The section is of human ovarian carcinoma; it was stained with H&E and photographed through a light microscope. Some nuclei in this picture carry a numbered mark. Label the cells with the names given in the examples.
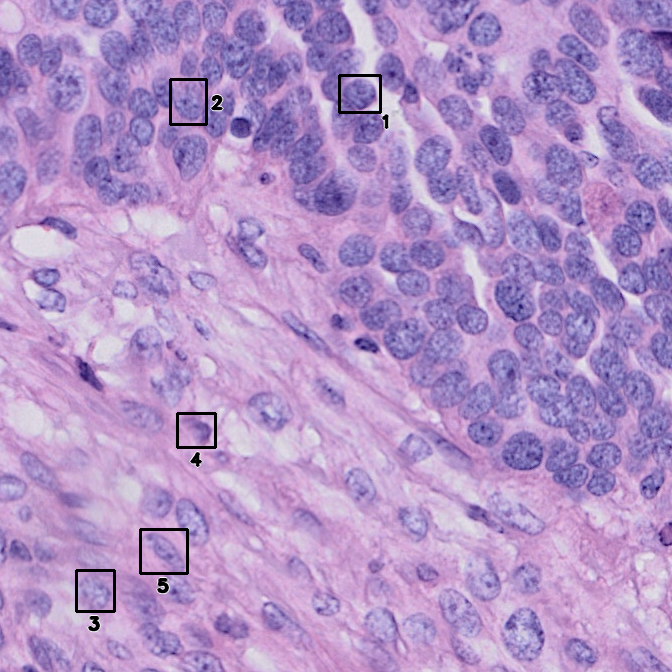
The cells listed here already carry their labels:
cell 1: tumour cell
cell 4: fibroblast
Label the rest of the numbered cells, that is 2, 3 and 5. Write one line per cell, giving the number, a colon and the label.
2: tumour cell
3: fibroblast
5: fibroblast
